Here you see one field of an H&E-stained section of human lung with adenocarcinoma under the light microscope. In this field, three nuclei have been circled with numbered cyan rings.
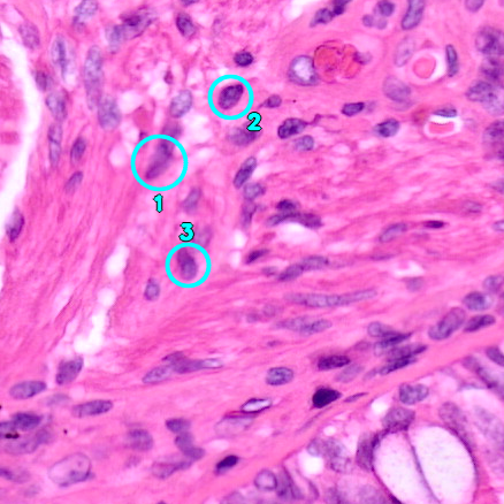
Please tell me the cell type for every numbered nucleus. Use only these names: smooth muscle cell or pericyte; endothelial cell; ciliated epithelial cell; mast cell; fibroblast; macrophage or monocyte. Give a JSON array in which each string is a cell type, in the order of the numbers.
["smooth muscle cell or pericyte", "mast cell", "smooth muscle cell or pericyte"]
